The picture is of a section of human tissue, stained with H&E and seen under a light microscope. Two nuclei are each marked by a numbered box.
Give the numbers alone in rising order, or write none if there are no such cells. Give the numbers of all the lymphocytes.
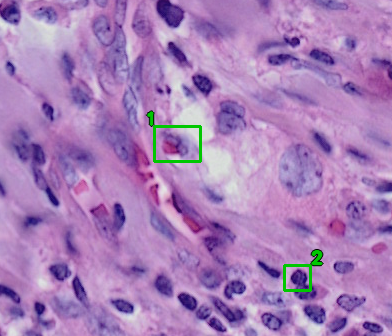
2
